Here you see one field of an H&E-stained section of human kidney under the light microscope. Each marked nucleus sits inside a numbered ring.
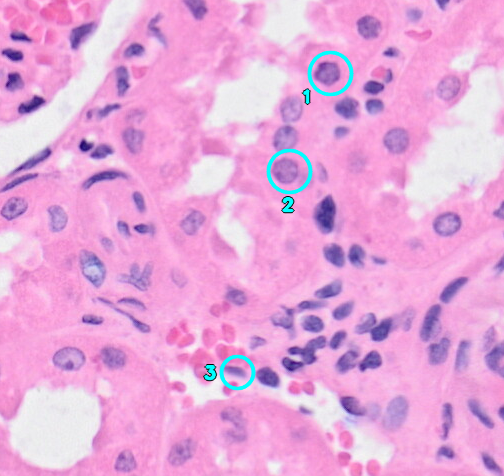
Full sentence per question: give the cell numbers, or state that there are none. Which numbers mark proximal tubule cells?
Here, the cells that carry numbers 1 and 2 are proximal tubule cells.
